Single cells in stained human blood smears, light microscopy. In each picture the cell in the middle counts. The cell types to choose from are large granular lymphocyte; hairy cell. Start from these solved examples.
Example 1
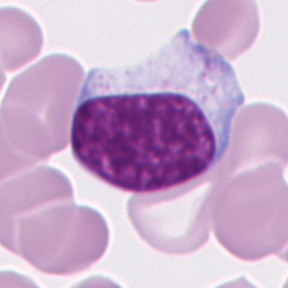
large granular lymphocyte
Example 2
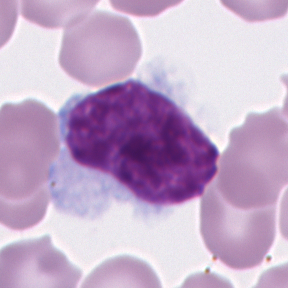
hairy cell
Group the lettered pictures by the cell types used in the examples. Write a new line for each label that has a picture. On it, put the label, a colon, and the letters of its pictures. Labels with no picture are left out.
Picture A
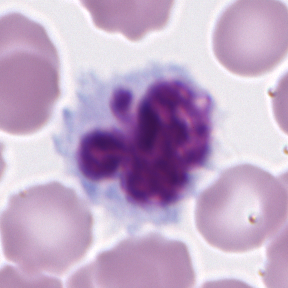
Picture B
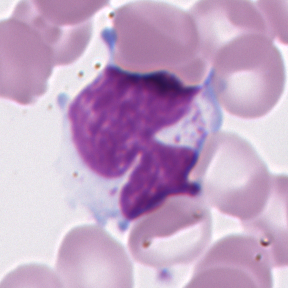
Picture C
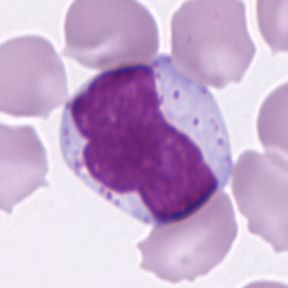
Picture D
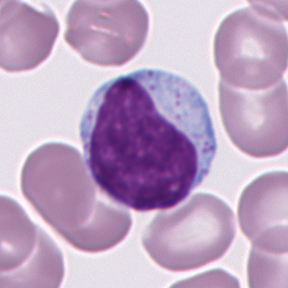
large granular lymphocyte: B, C, D
hairy cell: A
